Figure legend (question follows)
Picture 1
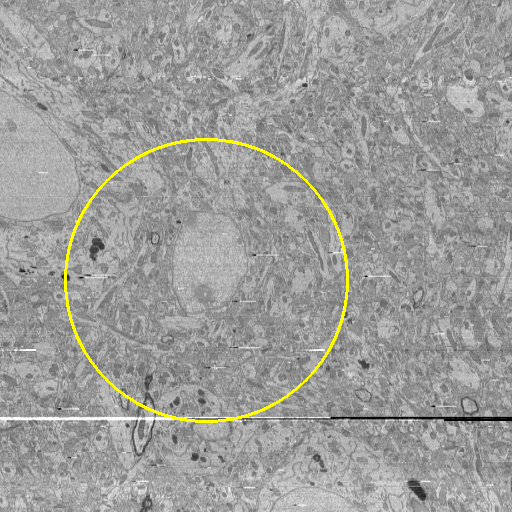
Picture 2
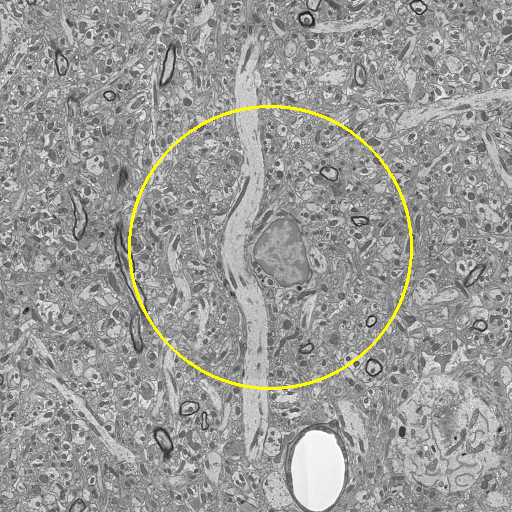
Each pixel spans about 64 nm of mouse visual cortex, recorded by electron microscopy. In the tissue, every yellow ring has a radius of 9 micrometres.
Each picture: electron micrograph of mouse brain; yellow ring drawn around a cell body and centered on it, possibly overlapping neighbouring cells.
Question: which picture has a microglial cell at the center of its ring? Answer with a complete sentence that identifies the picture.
Picture 2 has it at the center of its ring.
